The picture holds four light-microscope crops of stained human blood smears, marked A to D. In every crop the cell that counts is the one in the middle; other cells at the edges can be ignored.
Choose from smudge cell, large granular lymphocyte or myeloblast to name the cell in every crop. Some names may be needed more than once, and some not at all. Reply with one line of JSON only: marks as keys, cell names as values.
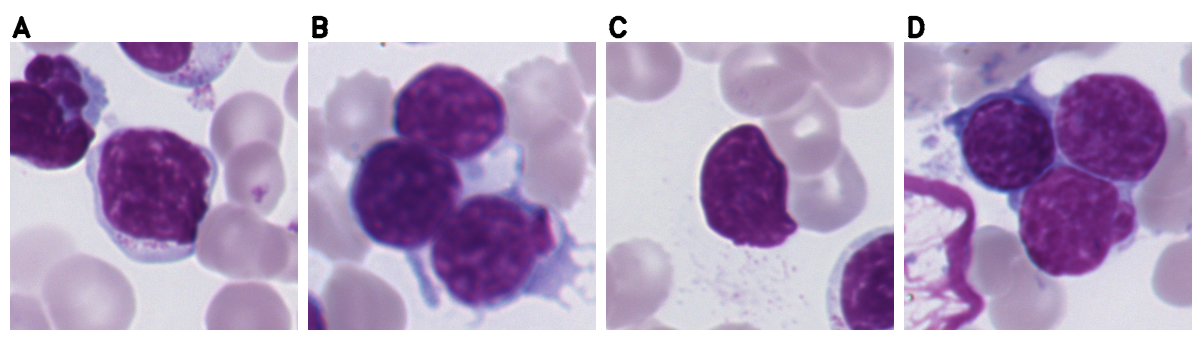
{"A": "large granular lymphocyte", "B": "myeloblast", "C": "smudge cell", "D": "myeloblast"}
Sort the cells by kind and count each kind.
myeloblast: 2
large granular lymphocyte: 1
smudge cell: 1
